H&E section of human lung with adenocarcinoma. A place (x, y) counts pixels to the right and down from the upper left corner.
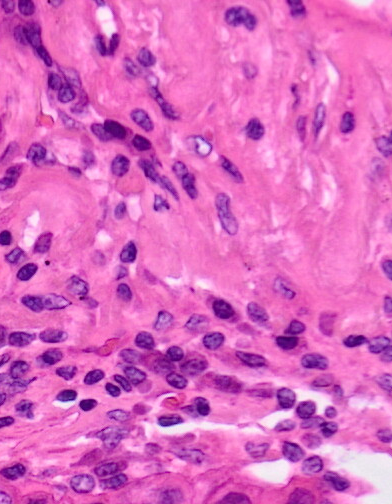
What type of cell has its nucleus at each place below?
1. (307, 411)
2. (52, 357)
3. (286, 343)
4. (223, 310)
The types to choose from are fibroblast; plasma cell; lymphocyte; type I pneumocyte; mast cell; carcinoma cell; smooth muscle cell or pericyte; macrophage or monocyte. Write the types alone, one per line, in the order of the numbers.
lymphocyte
lymphocyte
plasma cell
plasma cell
